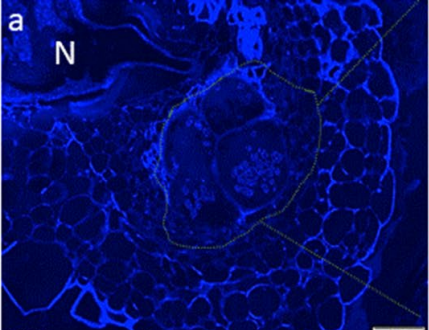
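This is a section through a root gall, where the nematode's feeding site is made of a few giant cells, much larger than the small root cells packed around them. One giant cell holds a dense cluster of many blue nuclei near its centre, while cell walls stand out as bright blue lines throughout the section. At the upper left lies the body of the nematode beside the feeding site.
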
